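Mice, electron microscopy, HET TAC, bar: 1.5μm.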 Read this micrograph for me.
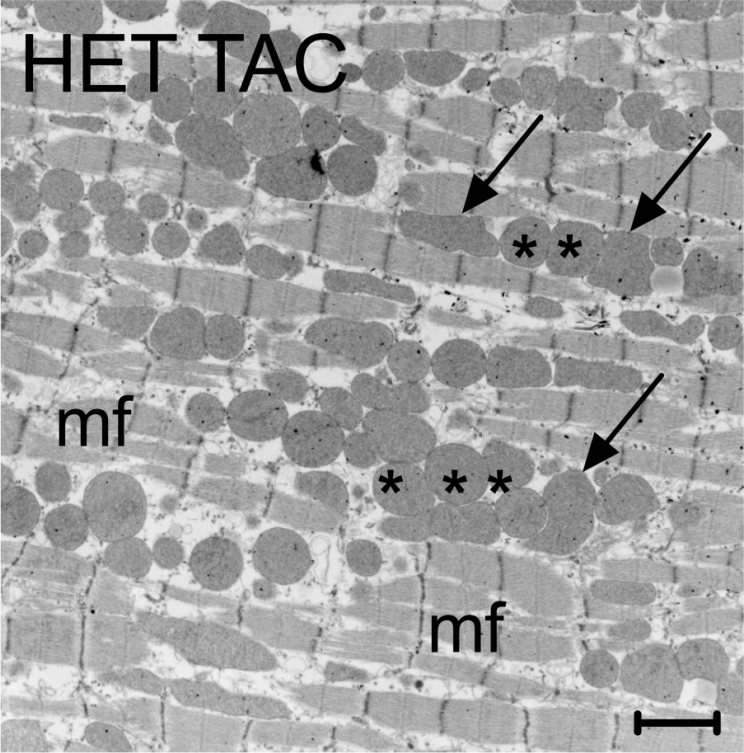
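This electron micrograph shows striated muscle with disordered mitochondria among thinner myofibril bundles. Myofibrils still show Z-lines and sarcomere banding but run as narrower, separated strands. The mitochondria no longer form neat rows: they are scattered, rounded or irregular in outline, and vary widely in size, some large and swollen, bulging wider than the adjacent myofibrils. Many are surrounded by pale, empty-looking spaces containing small membranous fragments, so the tissue looks loosened. A few mitochondria remain in short clusters, but the compact chain-like arrangement is lost.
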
